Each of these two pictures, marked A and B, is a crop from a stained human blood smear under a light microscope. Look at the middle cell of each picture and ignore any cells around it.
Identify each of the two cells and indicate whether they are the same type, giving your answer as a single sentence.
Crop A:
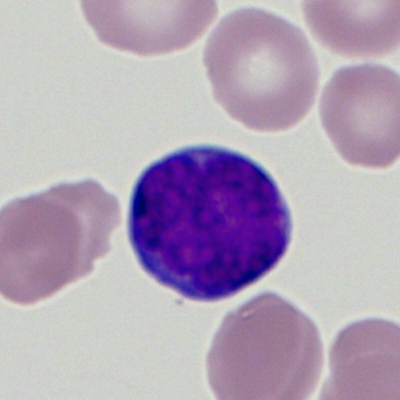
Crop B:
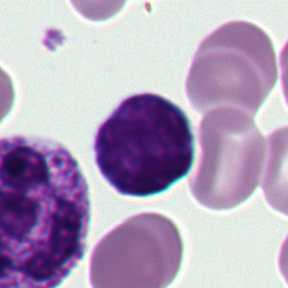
No, the cell centred in crop A is a blast, and that centred in crop B is a lymphocyte.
